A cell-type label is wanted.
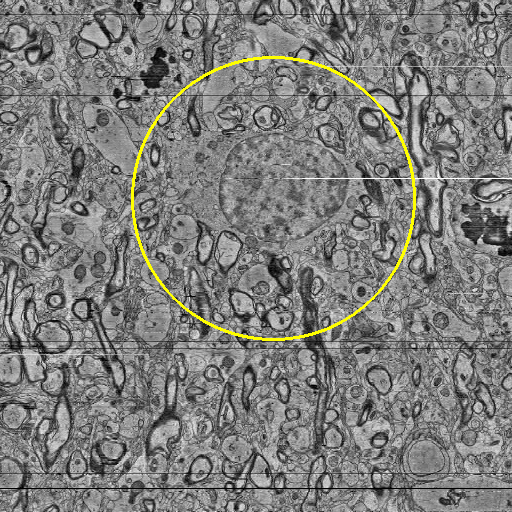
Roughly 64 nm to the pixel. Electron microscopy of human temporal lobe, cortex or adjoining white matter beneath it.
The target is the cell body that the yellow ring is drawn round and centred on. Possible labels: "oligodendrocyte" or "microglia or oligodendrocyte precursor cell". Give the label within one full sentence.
Of the labels offered, the cell in the middle of the yellow ring is an oligodendrocyte.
